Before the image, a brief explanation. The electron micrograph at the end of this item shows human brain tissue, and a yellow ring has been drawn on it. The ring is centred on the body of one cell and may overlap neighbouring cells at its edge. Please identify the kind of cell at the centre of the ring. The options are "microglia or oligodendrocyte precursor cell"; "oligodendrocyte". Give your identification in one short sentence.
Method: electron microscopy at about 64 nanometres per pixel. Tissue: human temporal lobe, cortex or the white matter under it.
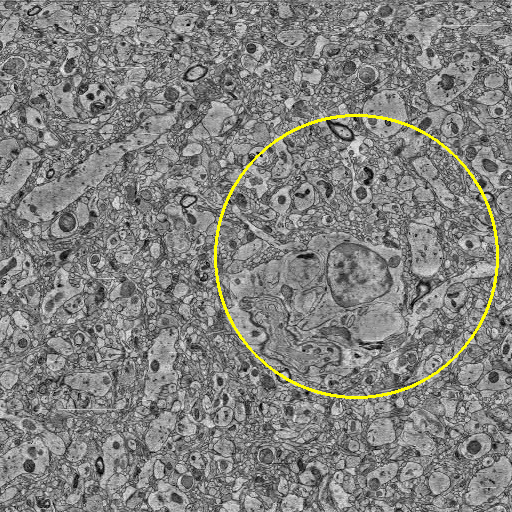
The ring has been placed around a microglial cell or oligodendrocyte precursor cell.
